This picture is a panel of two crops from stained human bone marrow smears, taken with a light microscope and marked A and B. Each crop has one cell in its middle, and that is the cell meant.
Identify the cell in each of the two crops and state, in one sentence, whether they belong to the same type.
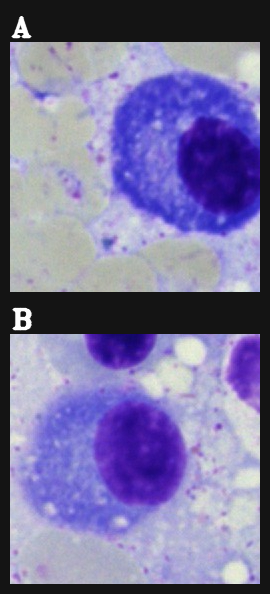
Yes, the two crops share the same answer, plasma cells.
